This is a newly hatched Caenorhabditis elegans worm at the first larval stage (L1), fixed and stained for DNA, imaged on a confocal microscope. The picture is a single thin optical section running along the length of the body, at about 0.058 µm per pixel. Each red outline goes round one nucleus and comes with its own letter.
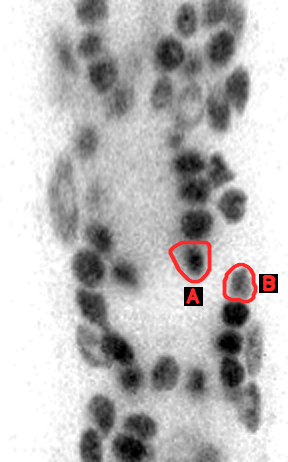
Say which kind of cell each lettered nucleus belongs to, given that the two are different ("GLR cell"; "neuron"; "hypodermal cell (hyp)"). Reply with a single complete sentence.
B belongs to a neuron, and A to a GLR cell.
